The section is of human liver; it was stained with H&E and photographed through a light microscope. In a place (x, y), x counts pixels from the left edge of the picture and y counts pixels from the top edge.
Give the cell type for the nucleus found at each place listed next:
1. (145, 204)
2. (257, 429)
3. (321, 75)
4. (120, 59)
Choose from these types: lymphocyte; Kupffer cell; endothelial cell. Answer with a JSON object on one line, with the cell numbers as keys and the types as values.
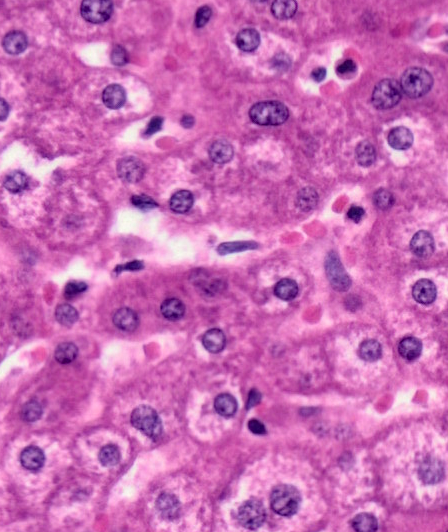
{"1": "endothelial cell", "2": "lymphocyte", "3": "lymphocyte", "4": "Kupffer cell"}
